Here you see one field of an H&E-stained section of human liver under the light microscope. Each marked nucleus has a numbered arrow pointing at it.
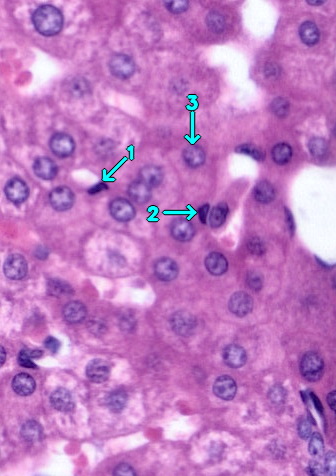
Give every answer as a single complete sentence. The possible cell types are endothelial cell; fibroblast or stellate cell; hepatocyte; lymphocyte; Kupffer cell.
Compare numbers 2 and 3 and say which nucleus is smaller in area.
It is nucleus 2; nucleus 3 has about 2 times its area.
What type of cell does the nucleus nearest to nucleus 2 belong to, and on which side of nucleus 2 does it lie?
The nearest nucleus is that of a Kupffer cell and lies to the right of nucleus 2.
